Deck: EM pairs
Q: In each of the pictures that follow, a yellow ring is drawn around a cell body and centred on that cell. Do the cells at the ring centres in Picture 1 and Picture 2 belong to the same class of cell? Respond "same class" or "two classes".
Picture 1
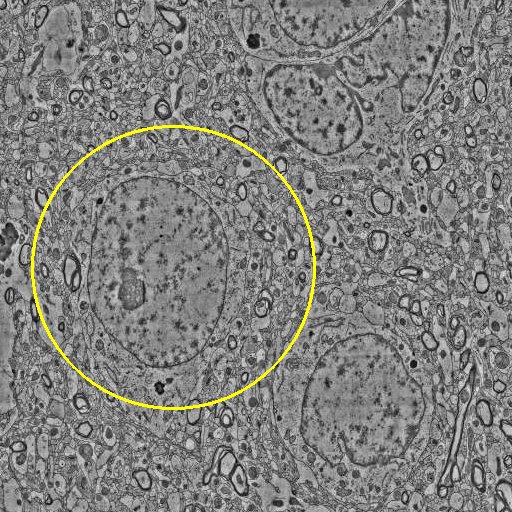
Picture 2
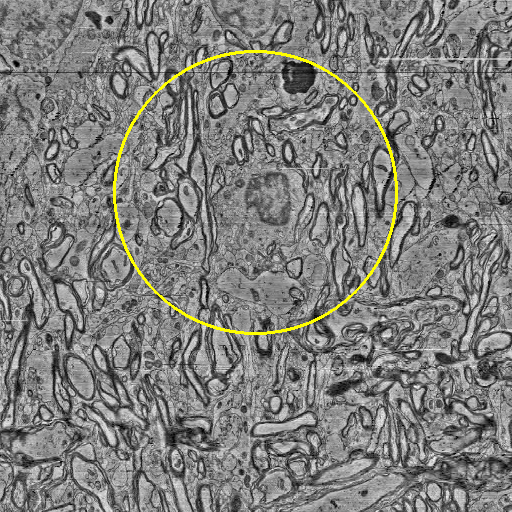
two classes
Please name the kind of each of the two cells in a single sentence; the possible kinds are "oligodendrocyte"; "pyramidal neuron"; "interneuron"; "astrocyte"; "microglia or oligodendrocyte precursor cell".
In the first picture the ring is centred on a pyramidal neuron, and in the second on an oligodendrocyte.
